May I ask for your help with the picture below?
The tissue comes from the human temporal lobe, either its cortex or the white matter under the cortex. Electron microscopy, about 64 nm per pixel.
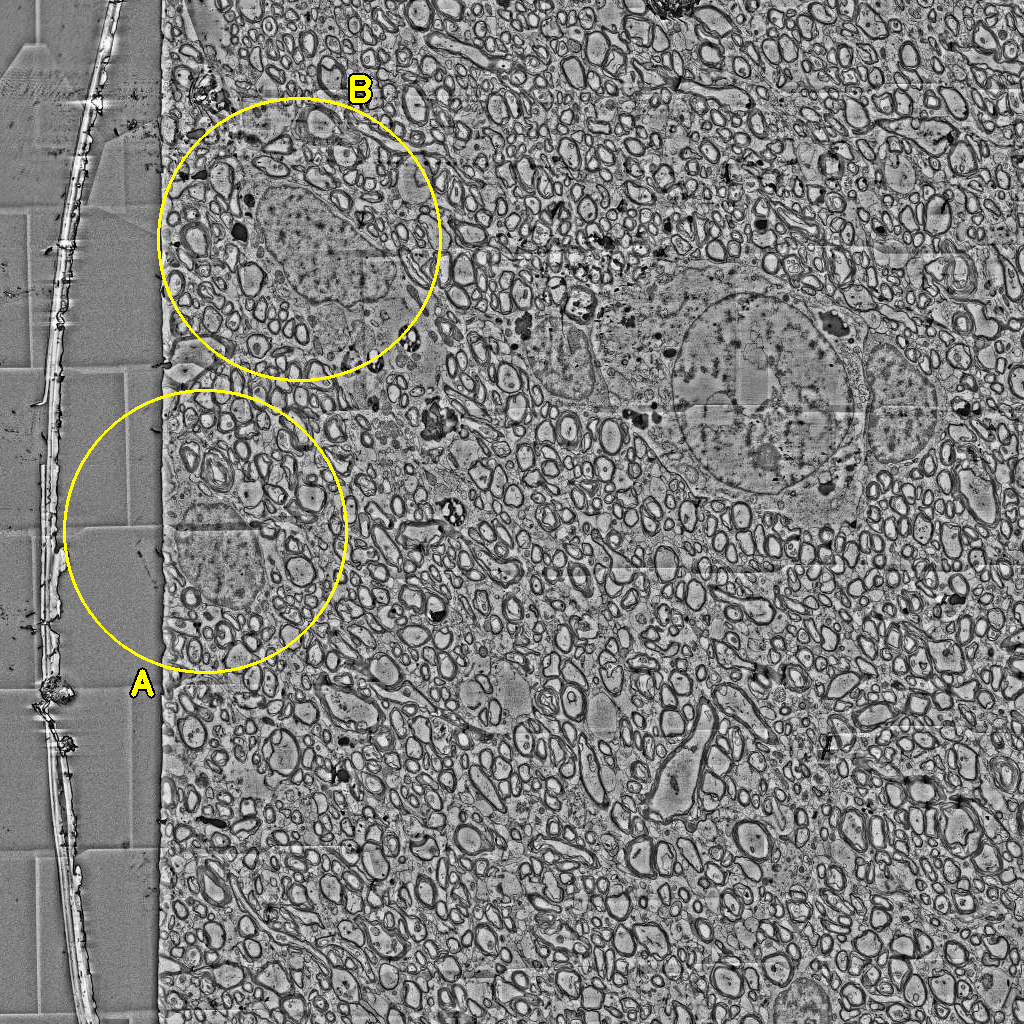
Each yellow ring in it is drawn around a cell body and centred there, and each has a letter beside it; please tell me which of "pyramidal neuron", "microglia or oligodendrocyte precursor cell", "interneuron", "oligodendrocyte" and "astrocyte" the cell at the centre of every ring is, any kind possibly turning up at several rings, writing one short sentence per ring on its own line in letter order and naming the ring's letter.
Ring A is drawn around the cell body of an oligodendrocyte.
Ring B is drawn around the cell body of an astrocyte.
